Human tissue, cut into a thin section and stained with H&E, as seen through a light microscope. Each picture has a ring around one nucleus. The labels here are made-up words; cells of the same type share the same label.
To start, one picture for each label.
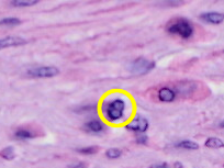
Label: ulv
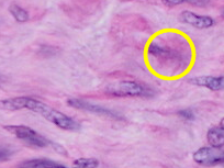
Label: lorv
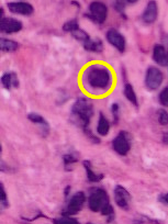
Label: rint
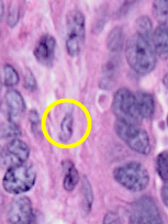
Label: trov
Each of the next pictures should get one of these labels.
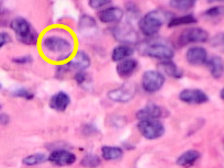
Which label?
ulv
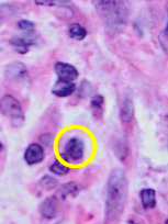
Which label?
ulv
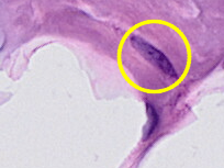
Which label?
trov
